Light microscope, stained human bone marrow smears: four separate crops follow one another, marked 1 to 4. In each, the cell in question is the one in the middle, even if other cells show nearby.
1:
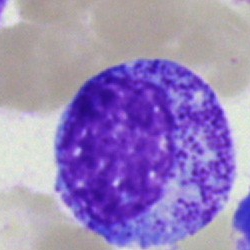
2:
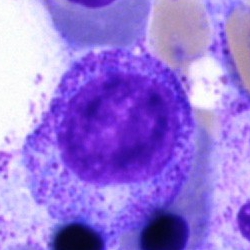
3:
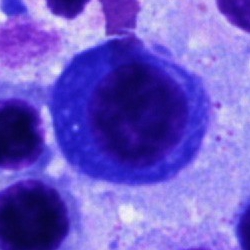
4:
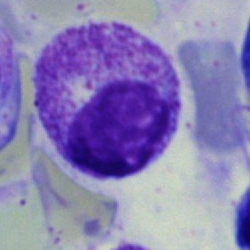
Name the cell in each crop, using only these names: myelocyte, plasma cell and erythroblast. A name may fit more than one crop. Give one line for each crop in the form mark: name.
1: myelocyte
2: myelocyte
3: plasma cell
4: myelocyte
